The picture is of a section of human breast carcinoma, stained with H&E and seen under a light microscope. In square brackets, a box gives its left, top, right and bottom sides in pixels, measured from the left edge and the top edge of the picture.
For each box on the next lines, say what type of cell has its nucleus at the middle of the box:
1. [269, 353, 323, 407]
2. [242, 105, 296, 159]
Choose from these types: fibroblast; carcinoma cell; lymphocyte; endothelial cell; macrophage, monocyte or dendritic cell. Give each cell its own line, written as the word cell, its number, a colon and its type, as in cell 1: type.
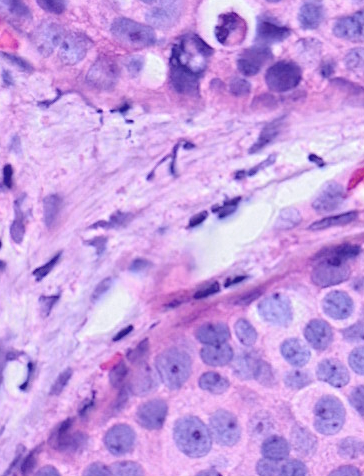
cell 1: carcinoma cell
cell 2: fibroblast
